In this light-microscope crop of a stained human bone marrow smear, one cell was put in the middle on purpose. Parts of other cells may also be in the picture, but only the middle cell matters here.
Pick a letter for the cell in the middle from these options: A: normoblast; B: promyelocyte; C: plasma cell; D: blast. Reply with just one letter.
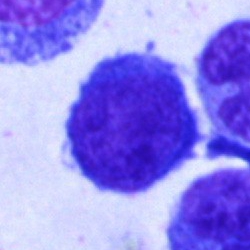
D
